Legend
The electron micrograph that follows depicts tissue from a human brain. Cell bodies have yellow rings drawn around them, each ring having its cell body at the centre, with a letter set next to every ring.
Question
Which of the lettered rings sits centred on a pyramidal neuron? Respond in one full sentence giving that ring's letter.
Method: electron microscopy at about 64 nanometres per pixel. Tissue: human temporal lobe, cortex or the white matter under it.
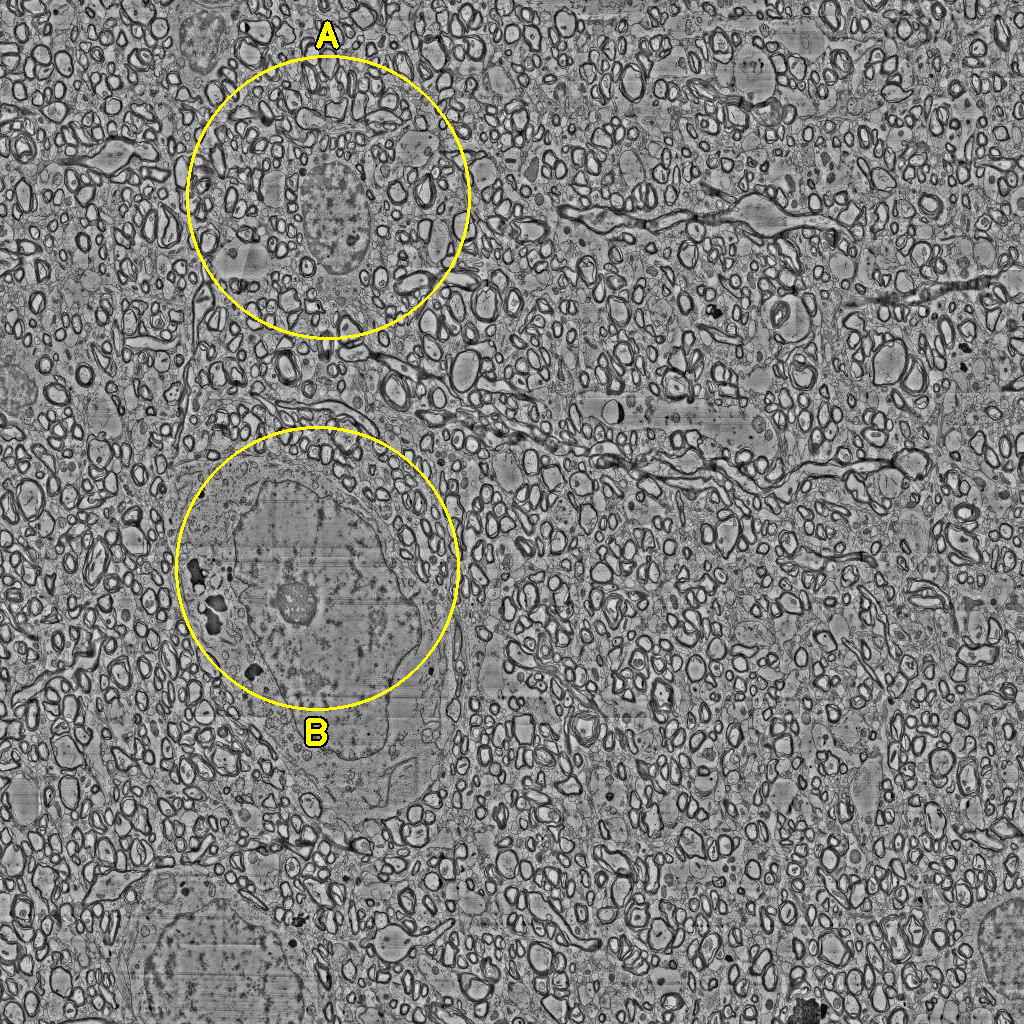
The letter B belongs to the ring centred on the cell asked about in the micrograph.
